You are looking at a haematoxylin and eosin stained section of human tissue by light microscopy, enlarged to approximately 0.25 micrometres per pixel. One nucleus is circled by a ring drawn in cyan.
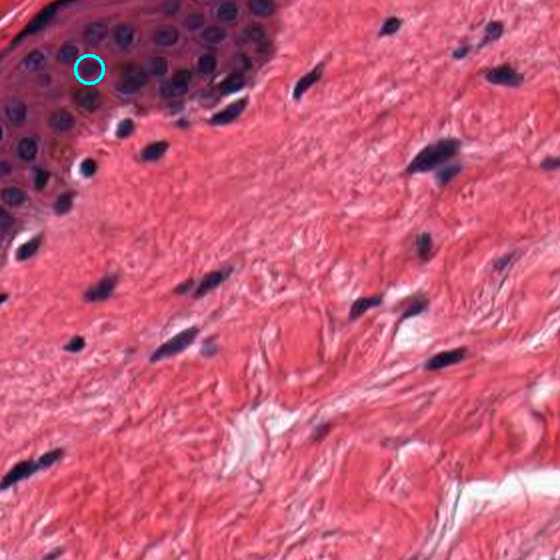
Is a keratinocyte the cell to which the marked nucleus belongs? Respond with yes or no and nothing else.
yes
